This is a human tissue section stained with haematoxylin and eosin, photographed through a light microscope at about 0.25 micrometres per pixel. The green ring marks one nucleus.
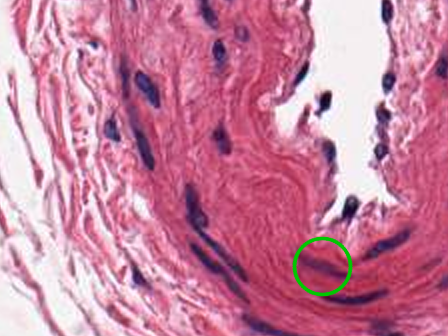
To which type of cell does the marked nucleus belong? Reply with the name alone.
smooth muscle cell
